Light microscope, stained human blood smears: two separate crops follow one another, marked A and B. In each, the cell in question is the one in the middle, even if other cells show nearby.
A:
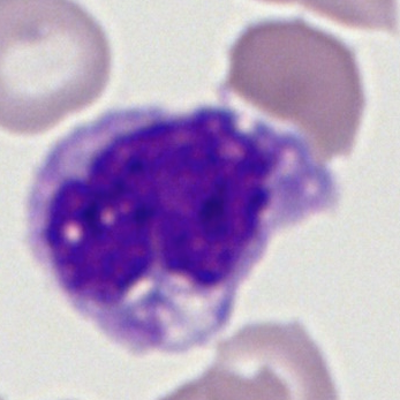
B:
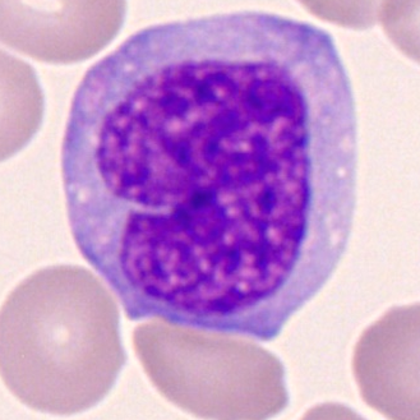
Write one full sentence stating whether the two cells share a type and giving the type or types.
Yes, both crops show monocytes at their middles.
